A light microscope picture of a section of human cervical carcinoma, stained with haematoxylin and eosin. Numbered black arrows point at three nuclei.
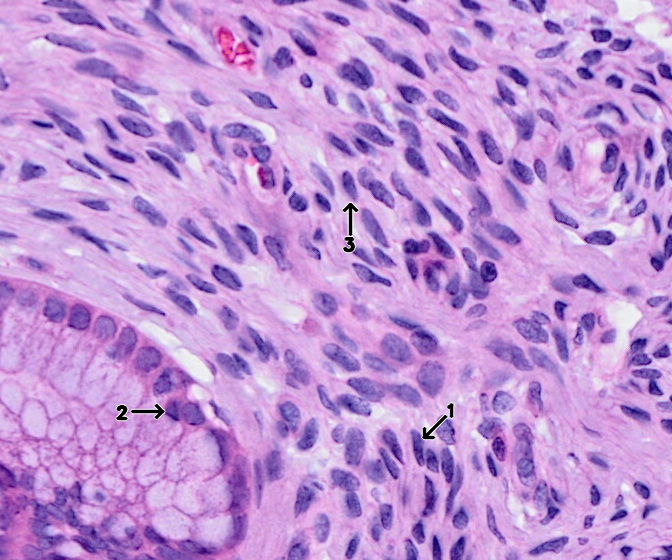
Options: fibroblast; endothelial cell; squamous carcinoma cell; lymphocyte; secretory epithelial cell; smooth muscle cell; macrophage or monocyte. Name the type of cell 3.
fibroblast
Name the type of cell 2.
secretory epithelial cell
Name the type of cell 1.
fibroblast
